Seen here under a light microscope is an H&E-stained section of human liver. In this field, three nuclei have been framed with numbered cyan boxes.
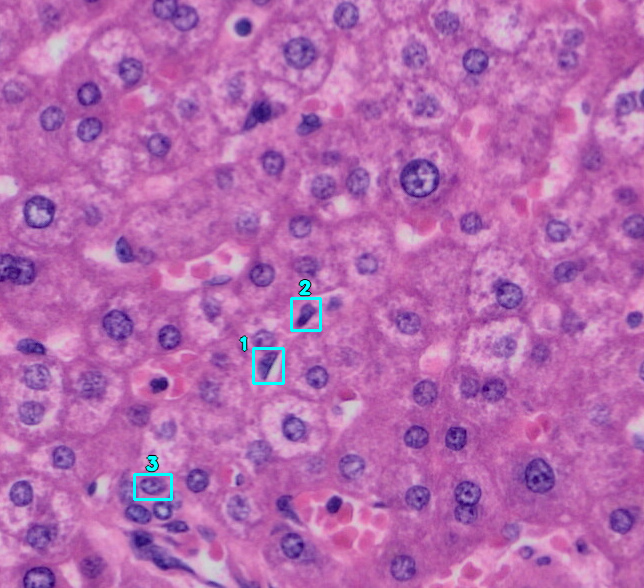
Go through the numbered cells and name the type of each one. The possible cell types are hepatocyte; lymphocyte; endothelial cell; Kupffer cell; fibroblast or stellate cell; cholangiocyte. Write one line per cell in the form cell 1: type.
cell 1: endothelial cell
cell 2: lymphocyte
cell 3: cholangiocyte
